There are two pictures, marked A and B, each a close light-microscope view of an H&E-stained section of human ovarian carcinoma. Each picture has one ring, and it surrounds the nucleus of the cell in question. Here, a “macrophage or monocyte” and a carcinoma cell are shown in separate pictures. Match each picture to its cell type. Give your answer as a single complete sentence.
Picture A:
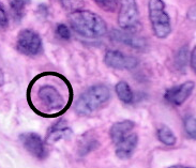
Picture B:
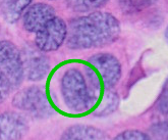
Picture B shows a carcinoma cell, while picture A shows a “macrophage or monocyte”.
